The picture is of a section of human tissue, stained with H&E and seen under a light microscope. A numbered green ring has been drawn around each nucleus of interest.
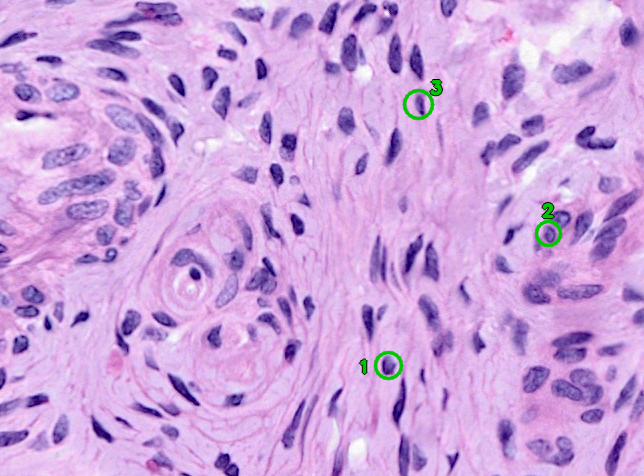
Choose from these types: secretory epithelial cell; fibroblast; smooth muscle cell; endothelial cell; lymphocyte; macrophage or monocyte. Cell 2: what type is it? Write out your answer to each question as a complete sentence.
Among the marked cells, number 2 is a smooth muscle cell.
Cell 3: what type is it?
The identity of cell 3 is that of a fibroblast.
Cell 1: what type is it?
The cell marked with the number 1 is a fibroblast.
